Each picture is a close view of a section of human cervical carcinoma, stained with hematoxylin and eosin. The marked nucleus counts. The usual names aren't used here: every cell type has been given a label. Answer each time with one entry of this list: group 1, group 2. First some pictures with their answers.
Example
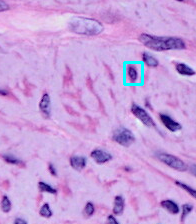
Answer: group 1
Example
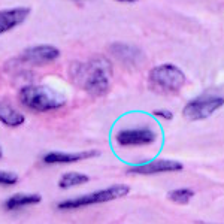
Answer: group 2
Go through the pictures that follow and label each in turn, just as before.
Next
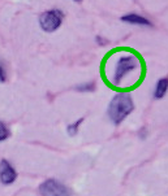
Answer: group 2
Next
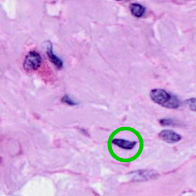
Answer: group 2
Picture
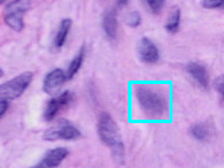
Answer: group 2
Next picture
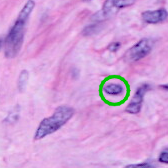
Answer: group 1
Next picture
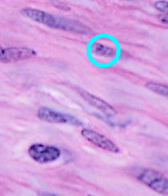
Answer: group 1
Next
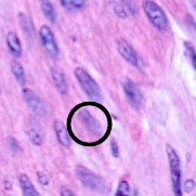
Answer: group 1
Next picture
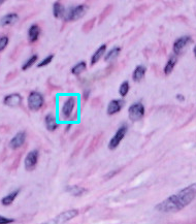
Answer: group 1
